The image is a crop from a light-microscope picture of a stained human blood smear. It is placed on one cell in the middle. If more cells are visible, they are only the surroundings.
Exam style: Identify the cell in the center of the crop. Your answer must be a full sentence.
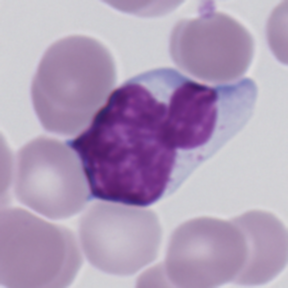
The cell at the centre of the field is a large granular lymphocyte.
